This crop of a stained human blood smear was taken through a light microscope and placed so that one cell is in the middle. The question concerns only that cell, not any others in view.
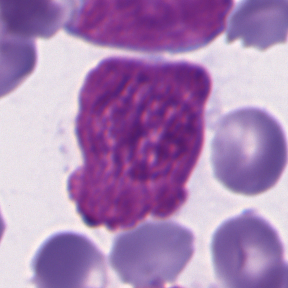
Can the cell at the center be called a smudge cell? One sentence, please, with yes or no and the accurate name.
Yes, the cell occupying the middle of the crop is a smudge cell.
